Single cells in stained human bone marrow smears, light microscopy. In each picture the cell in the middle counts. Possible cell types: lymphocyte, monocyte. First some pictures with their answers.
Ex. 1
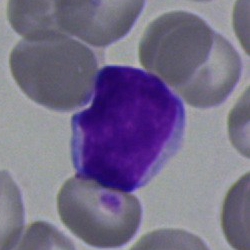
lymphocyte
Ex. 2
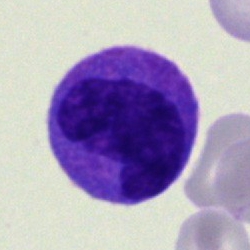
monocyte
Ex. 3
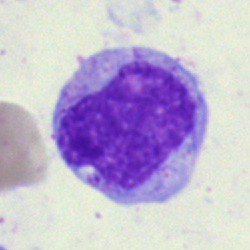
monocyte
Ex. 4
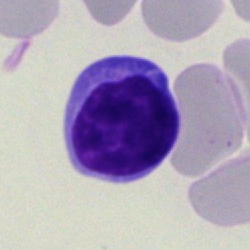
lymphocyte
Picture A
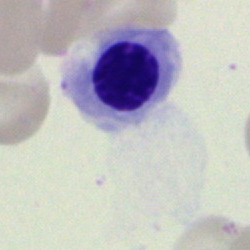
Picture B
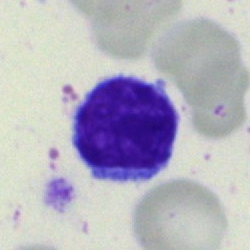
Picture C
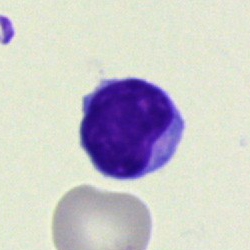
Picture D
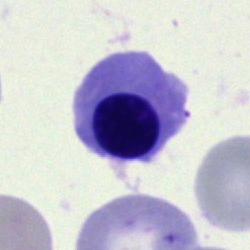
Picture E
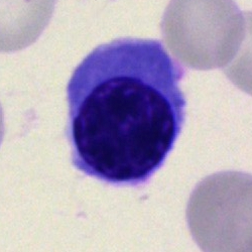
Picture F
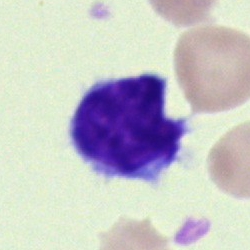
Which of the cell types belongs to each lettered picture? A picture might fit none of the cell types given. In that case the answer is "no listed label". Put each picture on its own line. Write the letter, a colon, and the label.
A: no listed label
B: lymphocyte
C: lymphocyte
D: no listed label
E: no listed label
F: lymphocyte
